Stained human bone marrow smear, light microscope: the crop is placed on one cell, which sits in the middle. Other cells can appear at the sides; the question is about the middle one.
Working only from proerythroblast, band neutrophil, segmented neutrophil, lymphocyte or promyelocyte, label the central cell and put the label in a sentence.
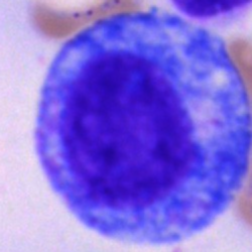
The cell positioned in the middle of the field is a promyelocyte.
